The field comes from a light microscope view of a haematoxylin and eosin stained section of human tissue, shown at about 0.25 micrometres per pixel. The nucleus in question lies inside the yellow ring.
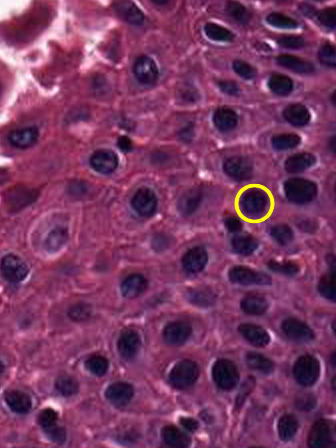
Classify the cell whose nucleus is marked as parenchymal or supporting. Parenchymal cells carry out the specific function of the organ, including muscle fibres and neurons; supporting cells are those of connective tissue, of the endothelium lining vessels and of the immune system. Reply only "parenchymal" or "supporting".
parenchymal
